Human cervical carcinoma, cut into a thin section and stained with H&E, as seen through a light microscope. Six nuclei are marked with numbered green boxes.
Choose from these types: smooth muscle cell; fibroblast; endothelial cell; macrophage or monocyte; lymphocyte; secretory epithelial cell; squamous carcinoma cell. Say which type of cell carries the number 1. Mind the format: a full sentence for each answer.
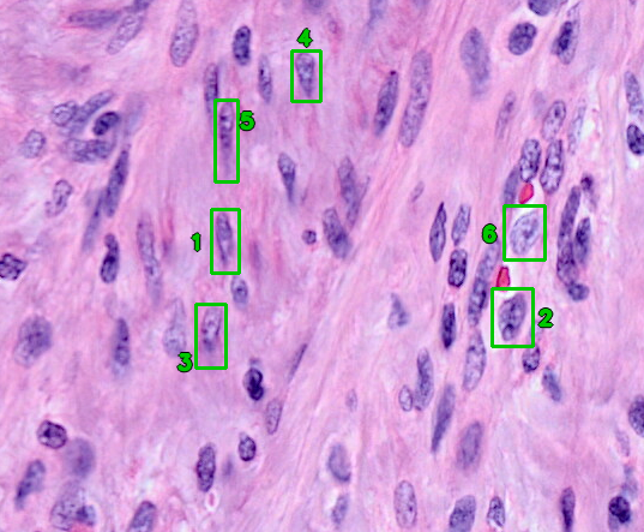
The correct label for cell 1 is a smooth muscle cell.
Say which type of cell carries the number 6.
The cell assigned the number 6 is an endothelial cell.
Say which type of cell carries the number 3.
The nucleus with number 3 is that of a smooth muscle cell.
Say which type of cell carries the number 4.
Belonging to a smooth muscle cell is the nucleus that carries the number 4.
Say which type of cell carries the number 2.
The label 2 in this section denotes an endothelial cell.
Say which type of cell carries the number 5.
Marked with the number 5, this cell is a smooth muscle cell.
